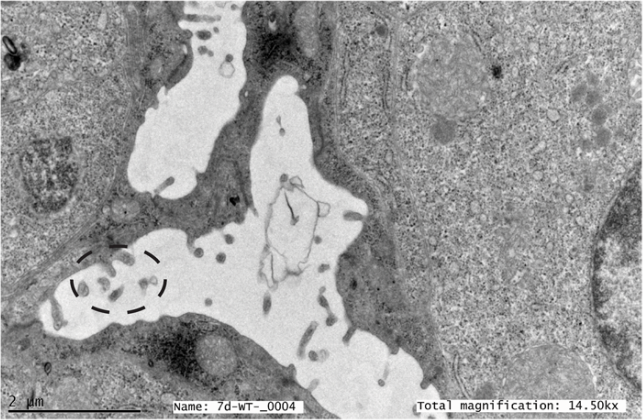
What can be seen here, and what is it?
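This is liver tissue showing hepatocytes at high magnification surrounding a bile canaliculus. A broad, branched, electron-lucent lumen runs between adjacent liver cells. Numerous short, finger-like microvilli project from the bordering membranes into the lumen, seen cut both lengthwise and across. The surrounding cytoplasm is finely granular with profiles of membranes and small rounded organelles, and the edge of a nucleus is visible at one side. The canaliculus appears continuous and well formed.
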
